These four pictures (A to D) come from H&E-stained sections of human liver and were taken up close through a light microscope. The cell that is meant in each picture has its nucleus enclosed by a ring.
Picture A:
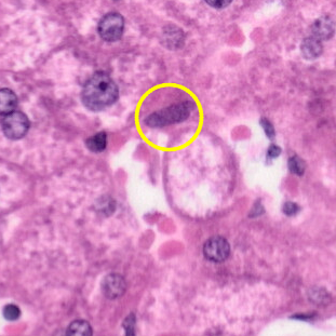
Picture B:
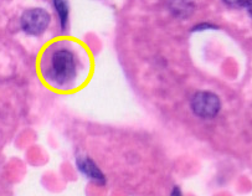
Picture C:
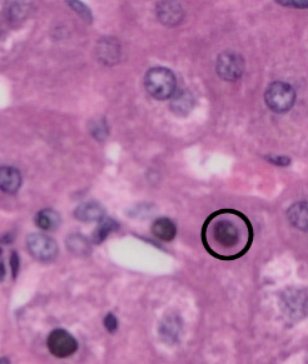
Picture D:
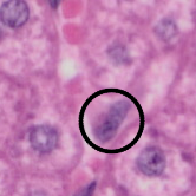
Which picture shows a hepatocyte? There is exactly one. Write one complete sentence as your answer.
It is picture C that shows the hepatocyte.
